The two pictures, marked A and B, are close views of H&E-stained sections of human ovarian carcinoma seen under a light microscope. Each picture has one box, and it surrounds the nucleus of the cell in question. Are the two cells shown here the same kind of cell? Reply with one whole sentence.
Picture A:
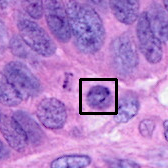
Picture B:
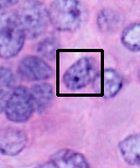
Yes; the cells in both pictures are “macrophages or monocytes”.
